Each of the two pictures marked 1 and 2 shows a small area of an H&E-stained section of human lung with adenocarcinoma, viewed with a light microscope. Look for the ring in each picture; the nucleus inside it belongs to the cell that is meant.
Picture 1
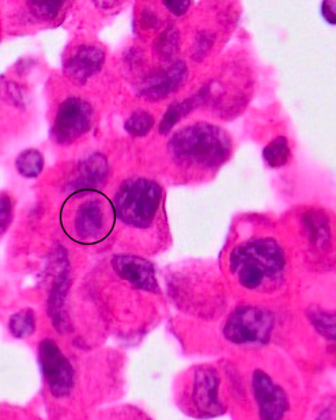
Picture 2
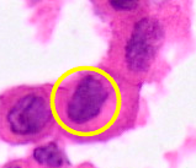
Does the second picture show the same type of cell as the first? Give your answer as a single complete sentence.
Yes; the cells in both pictures are carcinoma cells.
